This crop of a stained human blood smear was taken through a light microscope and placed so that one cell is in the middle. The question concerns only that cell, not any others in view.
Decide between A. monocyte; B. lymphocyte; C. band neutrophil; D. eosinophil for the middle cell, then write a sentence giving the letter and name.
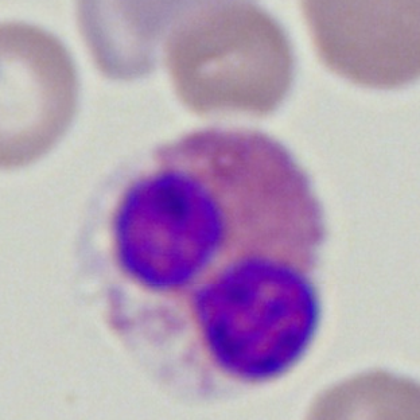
Identification: the cell in the middle is an eosinophil, matching option D.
